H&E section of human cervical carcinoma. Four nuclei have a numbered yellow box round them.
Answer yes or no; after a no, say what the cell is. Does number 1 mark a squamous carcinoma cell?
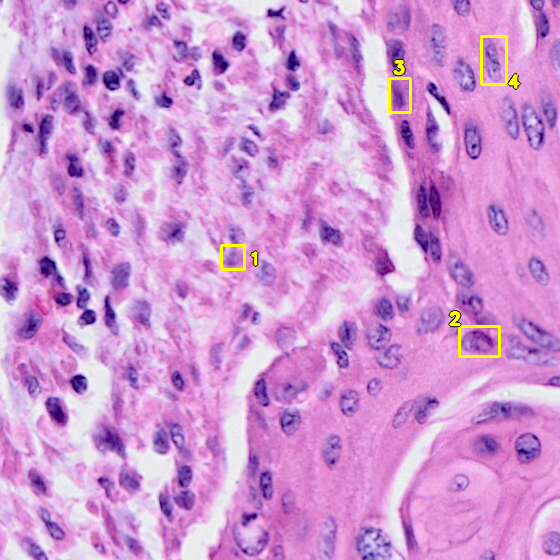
No, it is a fibroblast.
